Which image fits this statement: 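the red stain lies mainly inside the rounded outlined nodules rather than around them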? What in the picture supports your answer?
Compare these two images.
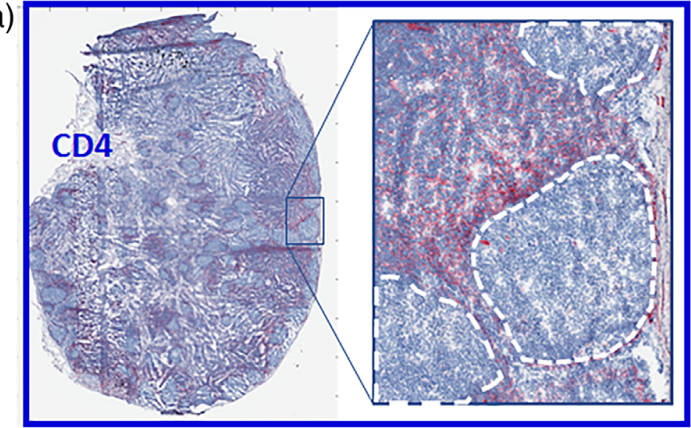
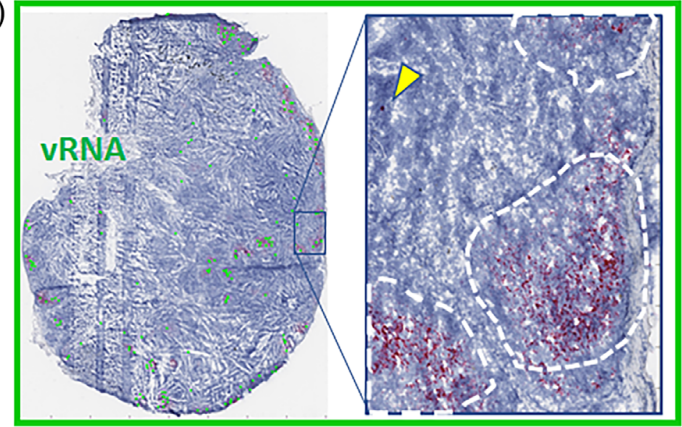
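The second image. First image: red-stained cells crowd the area outside the dashed outlines, the outlined nodules are mostly blue. Second image: red stain clusters within the dashed outlines, the area outside them is mostly blue.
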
